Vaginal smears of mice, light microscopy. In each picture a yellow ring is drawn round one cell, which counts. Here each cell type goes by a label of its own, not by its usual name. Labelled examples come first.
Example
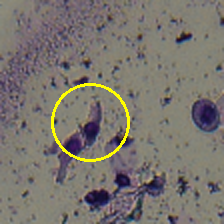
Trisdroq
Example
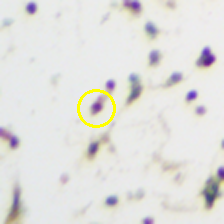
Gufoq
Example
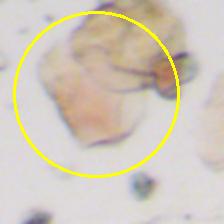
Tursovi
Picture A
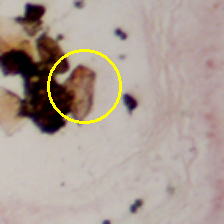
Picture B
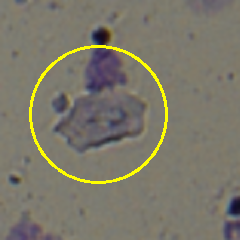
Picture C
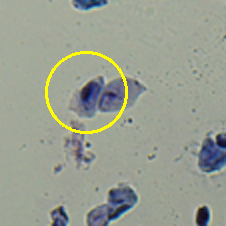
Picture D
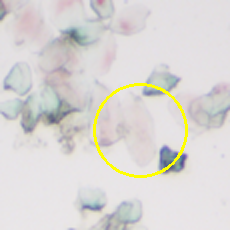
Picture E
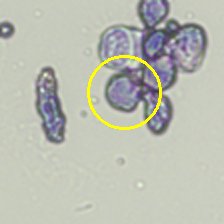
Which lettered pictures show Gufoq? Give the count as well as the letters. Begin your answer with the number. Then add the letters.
0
